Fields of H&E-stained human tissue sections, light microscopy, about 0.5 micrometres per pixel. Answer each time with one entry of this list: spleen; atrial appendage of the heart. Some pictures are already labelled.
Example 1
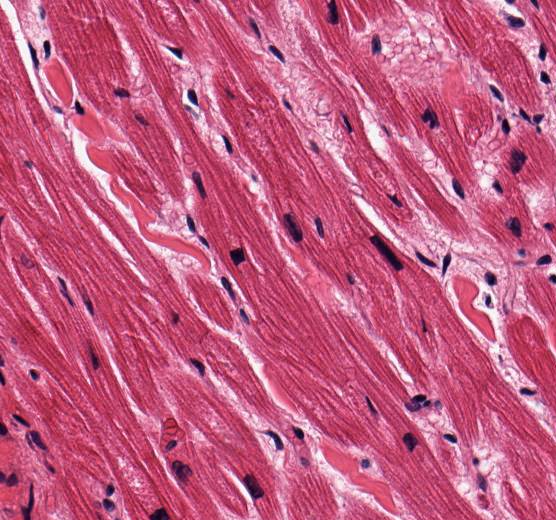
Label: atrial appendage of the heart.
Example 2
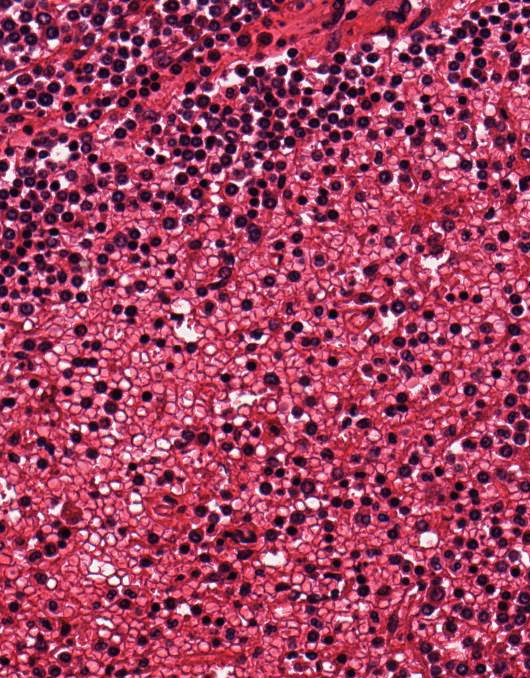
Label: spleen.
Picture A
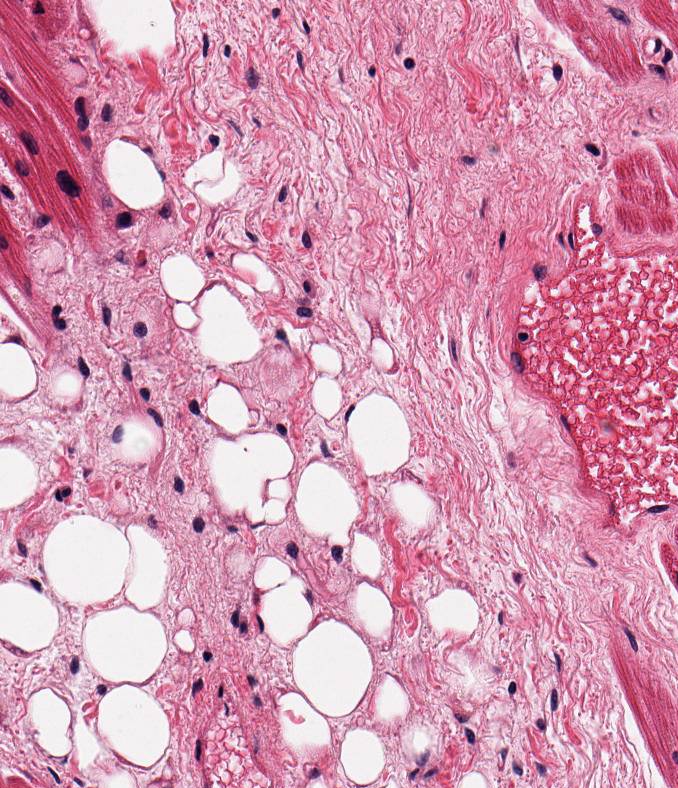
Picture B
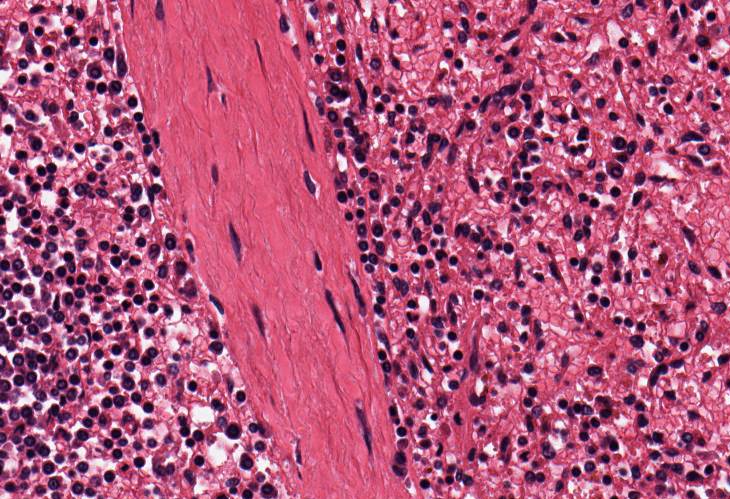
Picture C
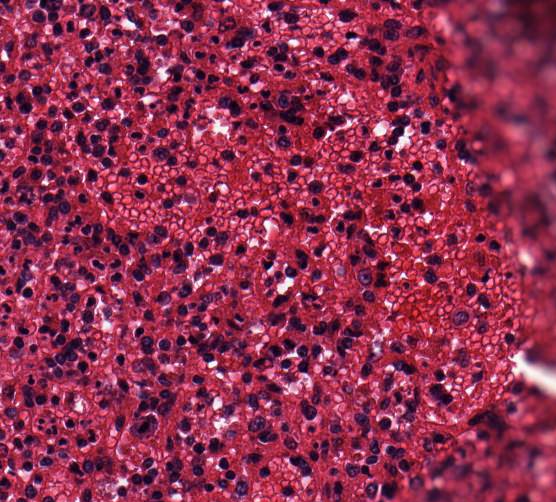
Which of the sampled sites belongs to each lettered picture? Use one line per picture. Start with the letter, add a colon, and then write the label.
A: atrial appendage of the heart.
B: spleen.
C: spleen.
